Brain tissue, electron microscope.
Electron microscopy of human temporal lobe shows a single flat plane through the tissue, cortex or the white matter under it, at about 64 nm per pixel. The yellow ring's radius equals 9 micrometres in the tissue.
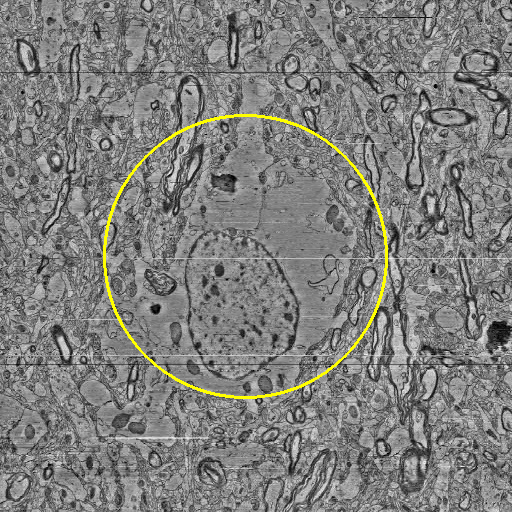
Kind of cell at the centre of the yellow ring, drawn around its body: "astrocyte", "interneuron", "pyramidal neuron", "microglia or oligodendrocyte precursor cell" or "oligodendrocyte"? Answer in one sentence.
The ring's centre falls on an astrocyte.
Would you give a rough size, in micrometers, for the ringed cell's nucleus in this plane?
In this plane the nucleus spans approximately 10 by 7 micrometers.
